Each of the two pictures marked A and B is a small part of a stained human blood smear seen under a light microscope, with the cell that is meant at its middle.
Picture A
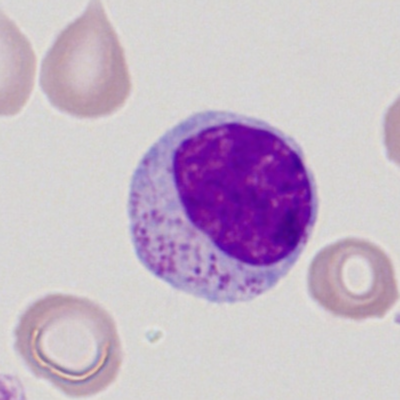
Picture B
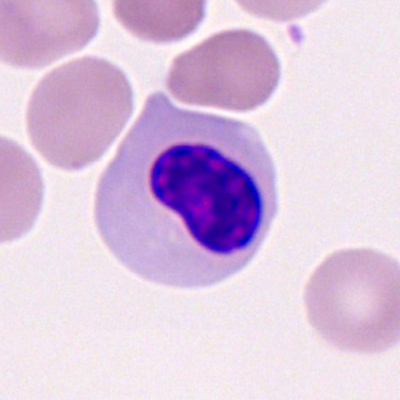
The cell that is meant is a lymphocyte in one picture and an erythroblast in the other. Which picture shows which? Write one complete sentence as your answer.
In picture A the cell is a lymphocyte; in picture B, an erythroblast.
